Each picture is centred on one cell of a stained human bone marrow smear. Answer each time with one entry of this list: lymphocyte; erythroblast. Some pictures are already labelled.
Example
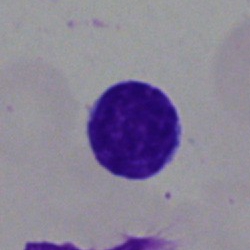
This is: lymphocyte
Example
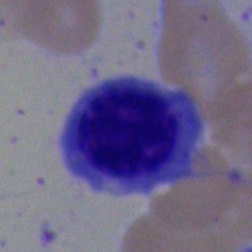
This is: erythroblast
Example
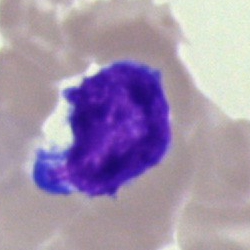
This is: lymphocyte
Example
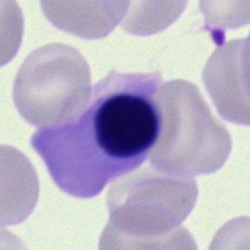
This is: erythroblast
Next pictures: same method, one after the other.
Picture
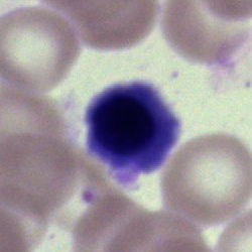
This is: erythroblast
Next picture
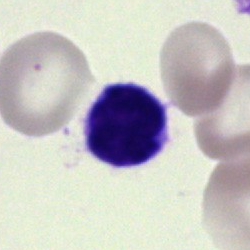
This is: lymphocyte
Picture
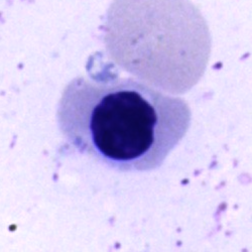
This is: erythroblast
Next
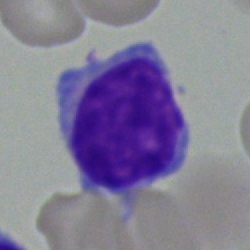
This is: lymphocyte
